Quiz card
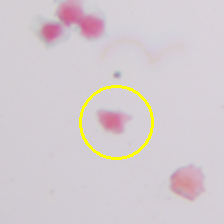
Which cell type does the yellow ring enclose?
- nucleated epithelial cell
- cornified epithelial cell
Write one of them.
cornified epithelial cell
